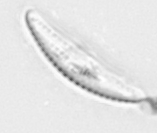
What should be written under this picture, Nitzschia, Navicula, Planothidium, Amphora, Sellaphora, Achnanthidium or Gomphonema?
Amphora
